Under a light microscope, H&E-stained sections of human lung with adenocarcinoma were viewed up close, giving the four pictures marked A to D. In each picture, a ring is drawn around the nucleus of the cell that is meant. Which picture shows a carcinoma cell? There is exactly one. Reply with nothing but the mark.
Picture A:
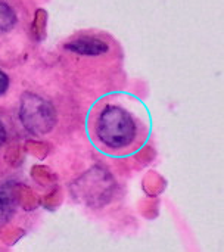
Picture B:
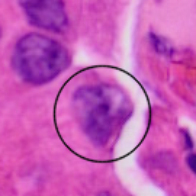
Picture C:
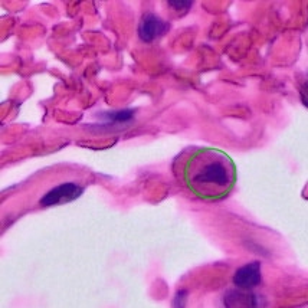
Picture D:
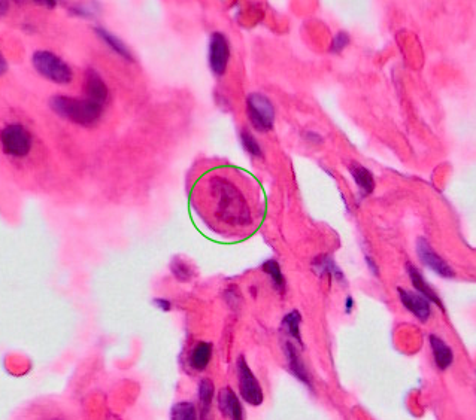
B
